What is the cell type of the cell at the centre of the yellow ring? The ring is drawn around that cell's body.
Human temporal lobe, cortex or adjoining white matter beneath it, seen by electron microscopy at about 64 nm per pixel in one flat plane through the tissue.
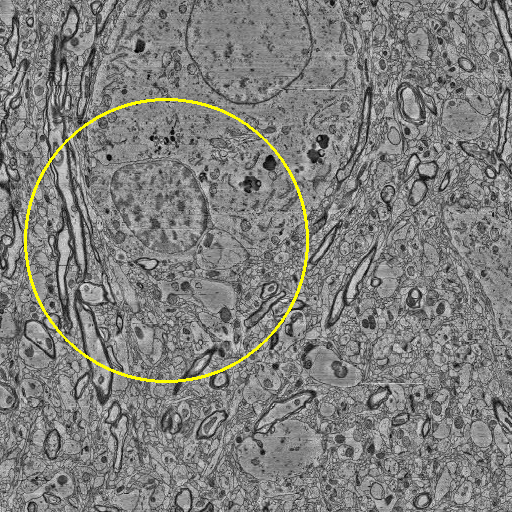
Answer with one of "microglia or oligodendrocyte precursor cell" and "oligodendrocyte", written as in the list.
oligodendrocyte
